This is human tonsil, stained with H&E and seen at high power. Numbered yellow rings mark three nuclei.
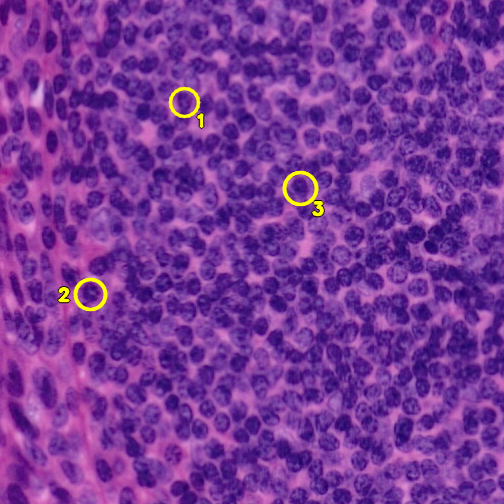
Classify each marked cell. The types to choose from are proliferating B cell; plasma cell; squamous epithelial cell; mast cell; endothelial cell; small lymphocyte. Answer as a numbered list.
1. small lymphocyte
2. plasma cell
3. small lymphocyte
